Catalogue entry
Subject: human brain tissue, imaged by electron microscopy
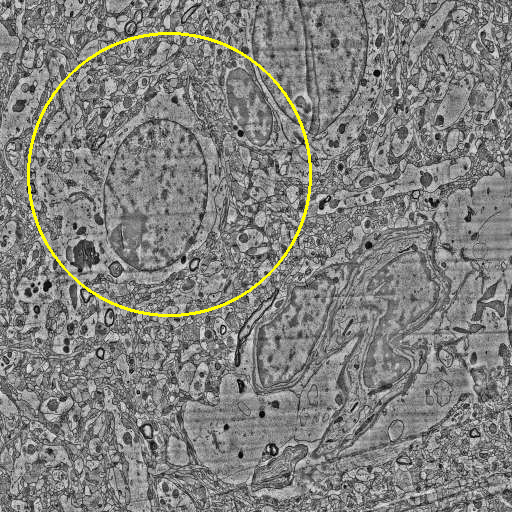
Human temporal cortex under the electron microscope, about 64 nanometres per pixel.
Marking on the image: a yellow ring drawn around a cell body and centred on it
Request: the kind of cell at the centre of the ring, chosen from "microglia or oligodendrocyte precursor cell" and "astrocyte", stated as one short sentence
The ring has an astrocyte at its centre.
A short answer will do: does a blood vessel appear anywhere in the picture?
Yes, a blood vessel can be seen.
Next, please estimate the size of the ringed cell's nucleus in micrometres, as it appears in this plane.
In this plane the nucleus measures roughly 10 by 7 micrometers.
